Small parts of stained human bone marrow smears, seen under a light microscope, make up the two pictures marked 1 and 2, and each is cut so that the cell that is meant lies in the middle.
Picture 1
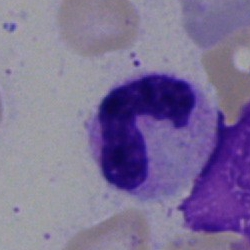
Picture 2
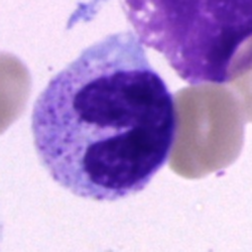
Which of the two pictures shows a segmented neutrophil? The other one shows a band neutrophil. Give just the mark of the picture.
1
